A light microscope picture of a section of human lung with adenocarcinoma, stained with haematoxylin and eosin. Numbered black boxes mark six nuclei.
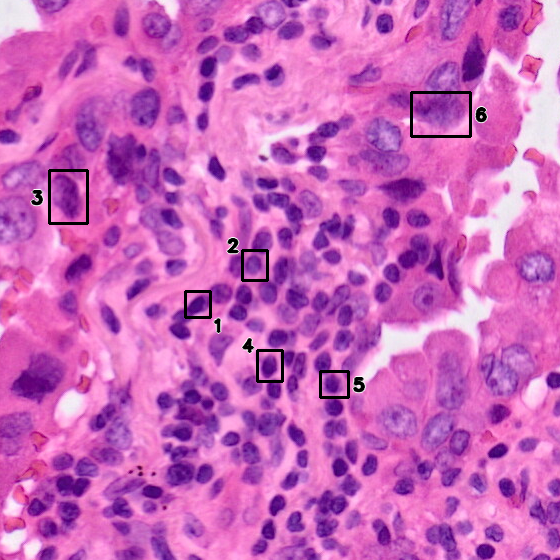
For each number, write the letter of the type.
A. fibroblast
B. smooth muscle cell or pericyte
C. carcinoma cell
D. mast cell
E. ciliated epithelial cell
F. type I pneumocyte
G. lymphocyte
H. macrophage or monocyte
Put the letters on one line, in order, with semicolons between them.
G; G; C; G; G; C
